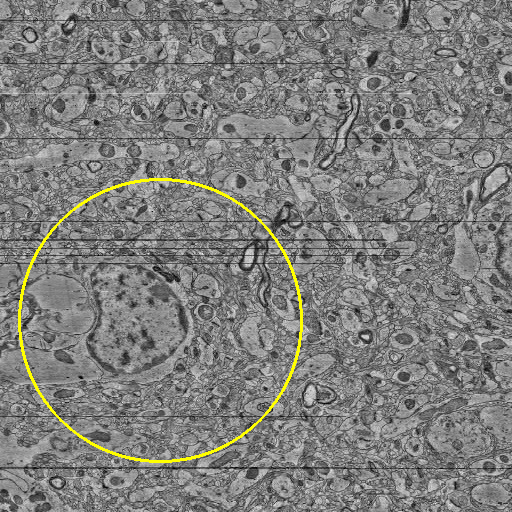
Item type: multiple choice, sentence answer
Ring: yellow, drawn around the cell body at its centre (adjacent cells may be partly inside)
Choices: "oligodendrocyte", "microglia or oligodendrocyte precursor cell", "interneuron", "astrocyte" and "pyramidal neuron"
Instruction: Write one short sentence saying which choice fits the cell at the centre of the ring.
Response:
This ring is drawn around a microglial cell or oligodendrocyte precursor cell.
